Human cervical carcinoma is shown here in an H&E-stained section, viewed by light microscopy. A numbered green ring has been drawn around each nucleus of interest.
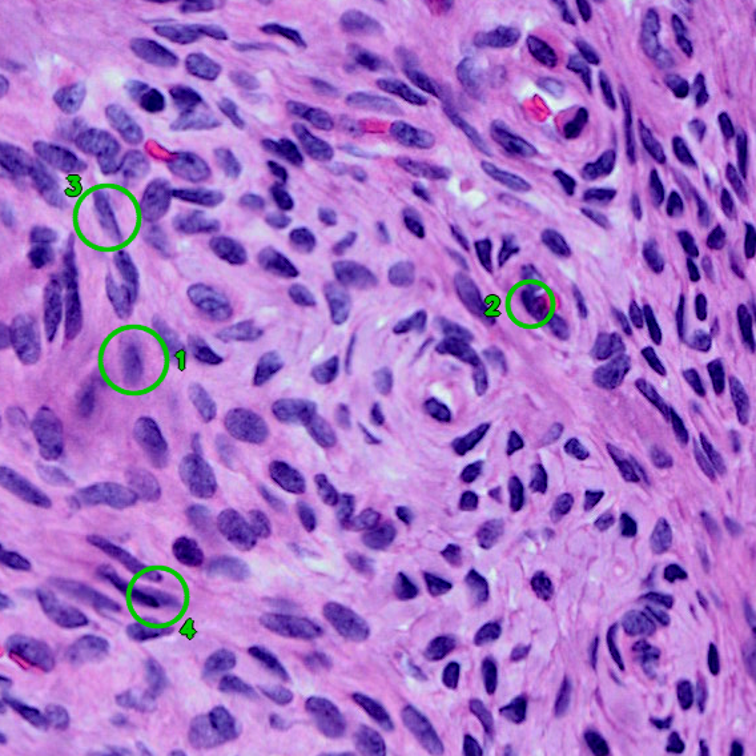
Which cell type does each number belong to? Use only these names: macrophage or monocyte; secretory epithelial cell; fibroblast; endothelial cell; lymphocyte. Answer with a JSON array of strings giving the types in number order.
["fibroblast", "endothelial cell", "fibroblast", "fibroblast"]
